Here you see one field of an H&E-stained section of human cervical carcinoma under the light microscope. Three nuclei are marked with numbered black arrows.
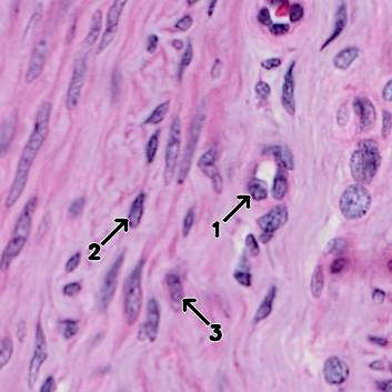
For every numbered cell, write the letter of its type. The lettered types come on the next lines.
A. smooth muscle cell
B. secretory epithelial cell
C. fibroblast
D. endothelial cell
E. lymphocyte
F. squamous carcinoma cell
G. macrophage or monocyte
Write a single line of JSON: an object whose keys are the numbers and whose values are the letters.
{"1": "D", "2": "A", "3": "A"}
